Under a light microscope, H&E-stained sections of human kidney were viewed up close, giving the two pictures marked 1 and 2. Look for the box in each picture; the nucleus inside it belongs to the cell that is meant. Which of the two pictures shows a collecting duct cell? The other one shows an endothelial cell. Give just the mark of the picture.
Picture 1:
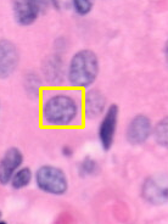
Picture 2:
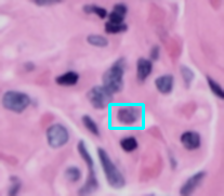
1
